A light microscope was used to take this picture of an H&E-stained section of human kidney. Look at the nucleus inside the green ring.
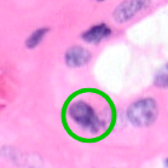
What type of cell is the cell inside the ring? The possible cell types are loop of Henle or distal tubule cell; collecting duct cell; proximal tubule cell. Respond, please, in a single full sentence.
In the context of this tissue, the cell inside the ring is a collecting duct cell.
